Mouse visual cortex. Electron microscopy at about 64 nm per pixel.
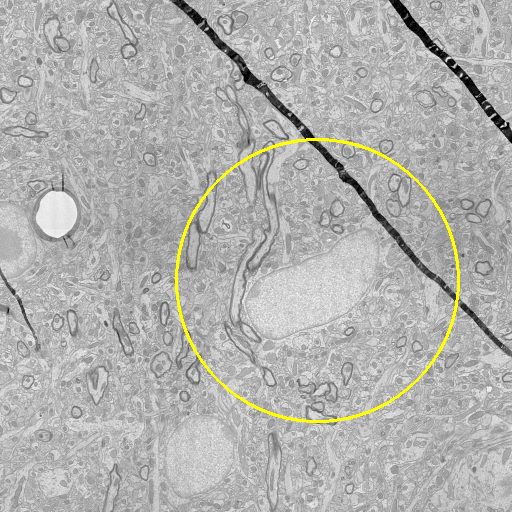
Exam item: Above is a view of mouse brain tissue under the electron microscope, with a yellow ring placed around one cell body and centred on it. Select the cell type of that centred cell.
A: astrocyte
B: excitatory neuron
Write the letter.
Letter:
A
